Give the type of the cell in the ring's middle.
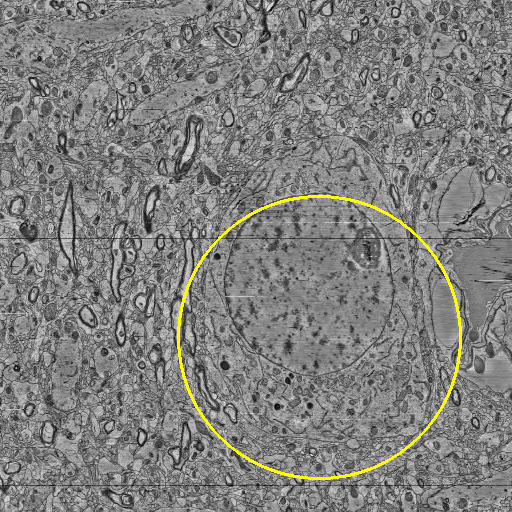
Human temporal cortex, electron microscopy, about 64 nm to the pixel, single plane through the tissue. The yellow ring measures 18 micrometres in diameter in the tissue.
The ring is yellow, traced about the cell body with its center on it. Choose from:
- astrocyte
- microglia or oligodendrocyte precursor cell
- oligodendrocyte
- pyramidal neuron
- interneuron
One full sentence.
Here, a pyramidal neuron is the cell lying at the center of the yellow ring.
